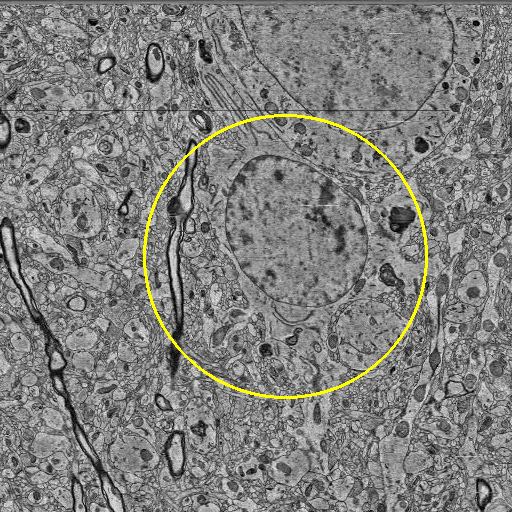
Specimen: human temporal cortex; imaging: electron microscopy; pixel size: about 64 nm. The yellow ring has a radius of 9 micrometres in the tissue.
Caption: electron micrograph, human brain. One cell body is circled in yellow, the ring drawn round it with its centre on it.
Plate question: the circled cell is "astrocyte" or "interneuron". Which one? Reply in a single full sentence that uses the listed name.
The yellow ring on the plate is centred on an astrocyte, going by the listed names.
